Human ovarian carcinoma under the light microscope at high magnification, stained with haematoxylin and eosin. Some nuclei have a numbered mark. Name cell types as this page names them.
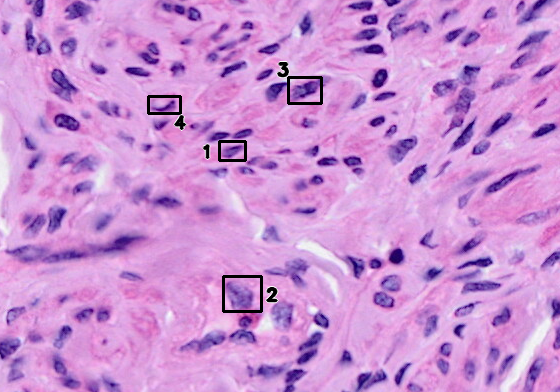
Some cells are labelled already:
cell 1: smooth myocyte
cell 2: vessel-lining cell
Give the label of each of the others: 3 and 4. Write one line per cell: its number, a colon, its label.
3: smooth myocyte
4: smooth myocyte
